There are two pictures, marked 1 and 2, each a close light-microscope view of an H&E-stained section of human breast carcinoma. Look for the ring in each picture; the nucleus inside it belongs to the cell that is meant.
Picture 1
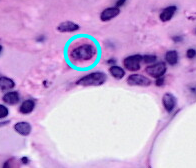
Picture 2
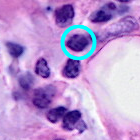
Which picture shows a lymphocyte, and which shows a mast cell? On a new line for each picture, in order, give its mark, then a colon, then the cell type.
1: mast cell
2: lymphocyte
